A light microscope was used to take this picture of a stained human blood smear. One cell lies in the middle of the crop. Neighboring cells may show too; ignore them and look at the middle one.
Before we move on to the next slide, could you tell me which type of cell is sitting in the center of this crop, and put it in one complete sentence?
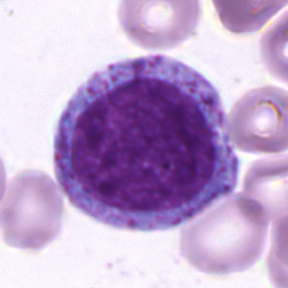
The centered cell in this crop is a promyelocyte.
